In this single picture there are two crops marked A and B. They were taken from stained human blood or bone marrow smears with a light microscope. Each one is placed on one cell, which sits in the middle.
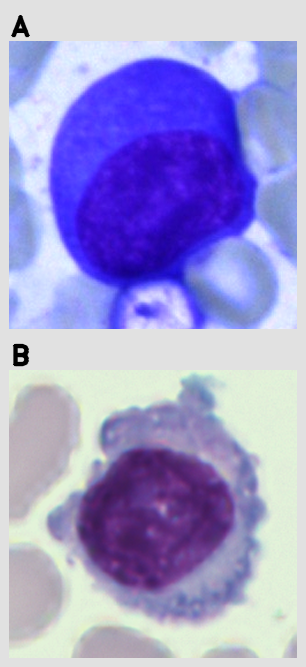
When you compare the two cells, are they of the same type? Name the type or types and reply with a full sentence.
Yes, plasma cells lie at the centre of both crops.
